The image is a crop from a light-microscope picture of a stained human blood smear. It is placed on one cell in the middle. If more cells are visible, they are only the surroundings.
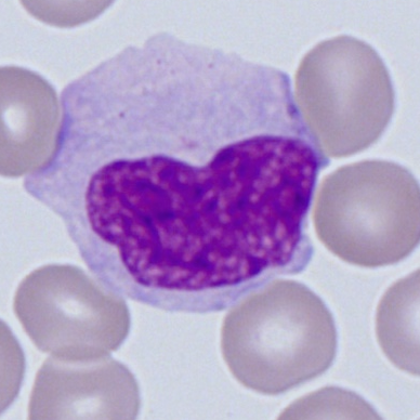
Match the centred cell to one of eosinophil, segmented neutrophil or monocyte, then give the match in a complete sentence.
In the center of this field lies a monocyte.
